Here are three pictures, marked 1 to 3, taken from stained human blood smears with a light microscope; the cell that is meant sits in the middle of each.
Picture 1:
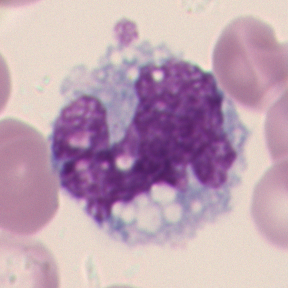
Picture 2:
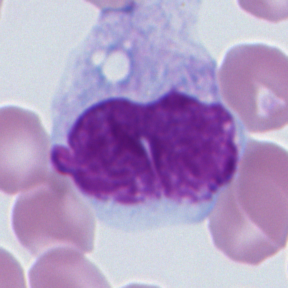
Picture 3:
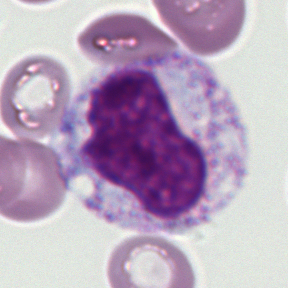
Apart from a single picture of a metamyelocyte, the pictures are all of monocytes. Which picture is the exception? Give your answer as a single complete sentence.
It is picture 3 that shows the metamyelocyte.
